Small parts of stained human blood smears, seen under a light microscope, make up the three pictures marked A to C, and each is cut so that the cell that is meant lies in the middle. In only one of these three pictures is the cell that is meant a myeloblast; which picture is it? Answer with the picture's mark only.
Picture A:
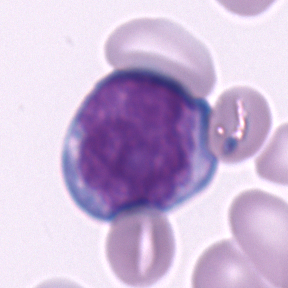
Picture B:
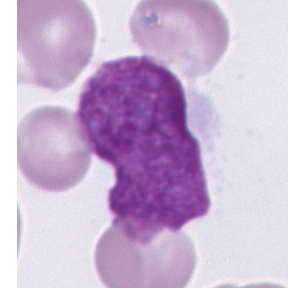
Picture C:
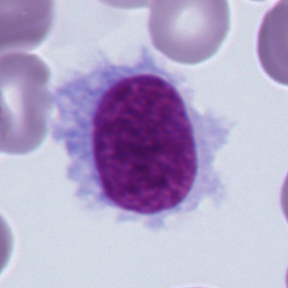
A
